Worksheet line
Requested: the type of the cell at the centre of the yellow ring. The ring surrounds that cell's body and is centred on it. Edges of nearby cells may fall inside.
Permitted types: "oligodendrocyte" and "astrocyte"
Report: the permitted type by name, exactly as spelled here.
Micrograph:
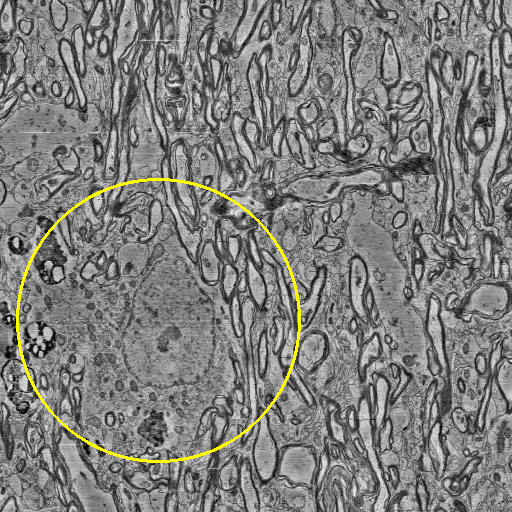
astrocyte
